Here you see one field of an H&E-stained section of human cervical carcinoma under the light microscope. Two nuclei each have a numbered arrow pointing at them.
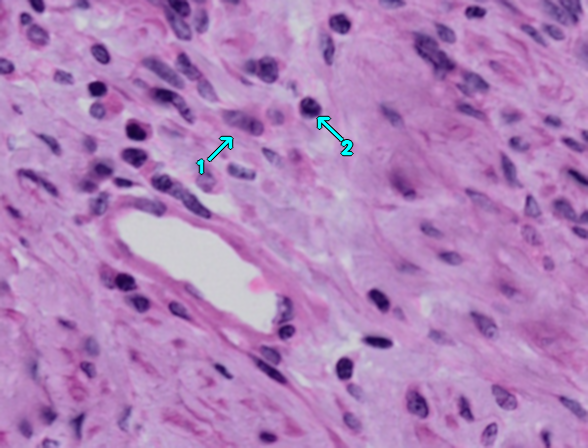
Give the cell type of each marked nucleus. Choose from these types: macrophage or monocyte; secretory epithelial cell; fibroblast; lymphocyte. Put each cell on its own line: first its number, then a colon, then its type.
1: macrophage or monocyte
2: lymphocyte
